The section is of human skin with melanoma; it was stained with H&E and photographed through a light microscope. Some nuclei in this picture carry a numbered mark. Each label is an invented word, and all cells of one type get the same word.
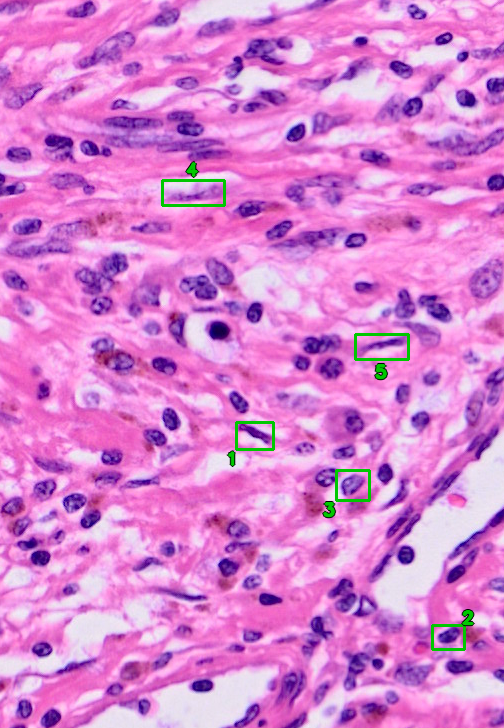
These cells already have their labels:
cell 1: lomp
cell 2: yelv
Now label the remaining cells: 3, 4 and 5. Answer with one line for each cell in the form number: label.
3: yelv
4: lomp
5: lomp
